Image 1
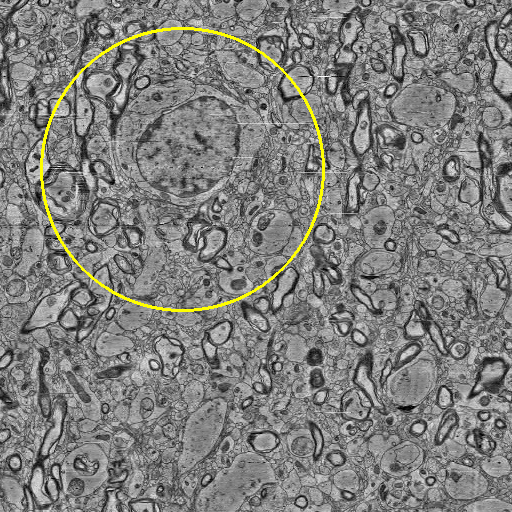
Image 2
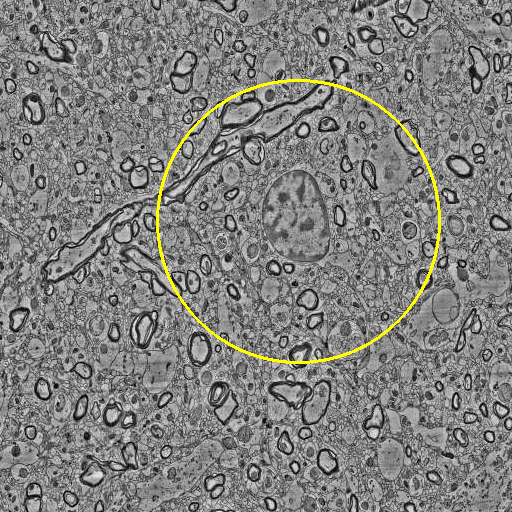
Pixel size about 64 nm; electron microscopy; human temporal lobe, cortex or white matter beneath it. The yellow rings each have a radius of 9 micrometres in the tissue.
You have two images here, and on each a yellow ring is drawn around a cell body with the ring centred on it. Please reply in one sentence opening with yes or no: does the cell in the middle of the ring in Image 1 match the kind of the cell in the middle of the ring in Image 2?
Yes, the two images show cells of one kind at the centres of their rings.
